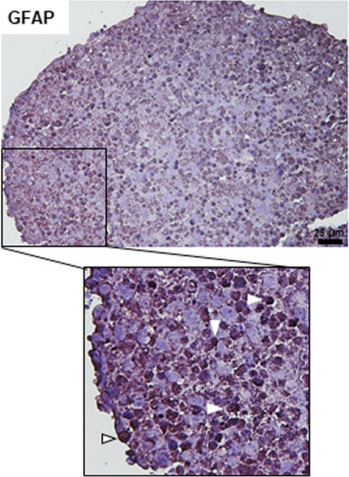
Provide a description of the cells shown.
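The cells are tightly packed and roundish, with dark purple nuclei. Cells toward the periphery appear denser and more darkly stained than those in the paler centre. In the enlarged inset, white arrowheads point to scattered cells with a brownish cytoplasmic tint among purple-stained neighbours. One outlined arrowhead marks a cell at the outer rim.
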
